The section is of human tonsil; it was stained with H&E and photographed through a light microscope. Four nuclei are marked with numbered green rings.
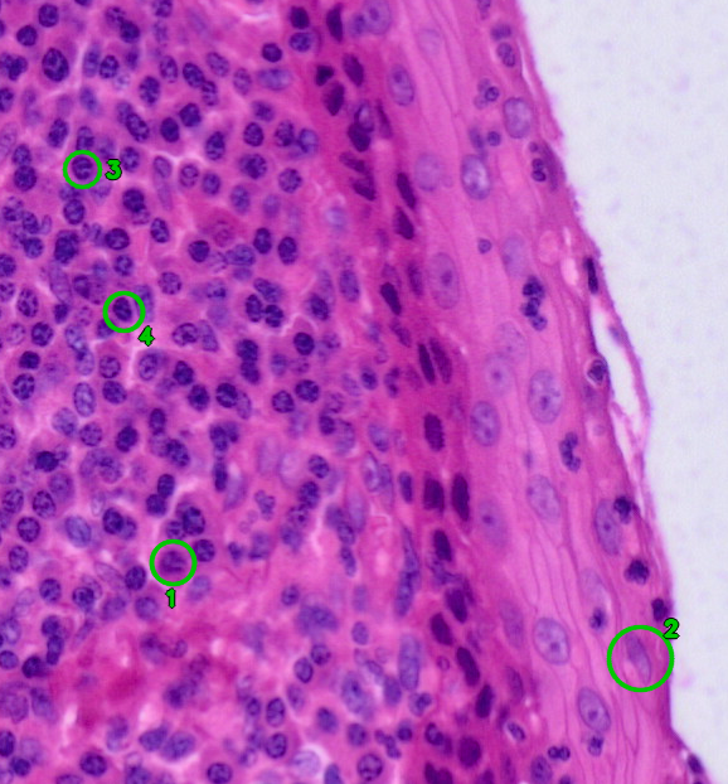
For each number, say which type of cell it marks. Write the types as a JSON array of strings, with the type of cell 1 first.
["plasma cell", "squamous epithelial cell", "plasma cell", "plasma cell"]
